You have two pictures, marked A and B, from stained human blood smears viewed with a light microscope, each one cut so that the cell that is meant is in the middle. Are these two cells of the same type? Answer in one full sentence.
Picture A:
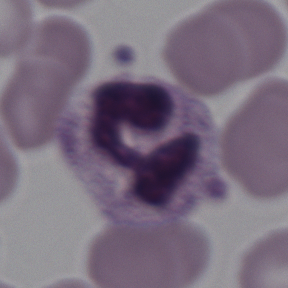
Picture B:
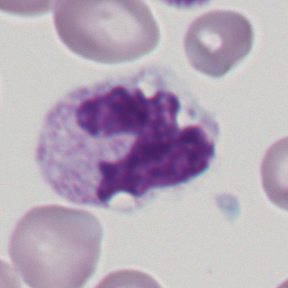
Yes, both cells are segmented neutrophils.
